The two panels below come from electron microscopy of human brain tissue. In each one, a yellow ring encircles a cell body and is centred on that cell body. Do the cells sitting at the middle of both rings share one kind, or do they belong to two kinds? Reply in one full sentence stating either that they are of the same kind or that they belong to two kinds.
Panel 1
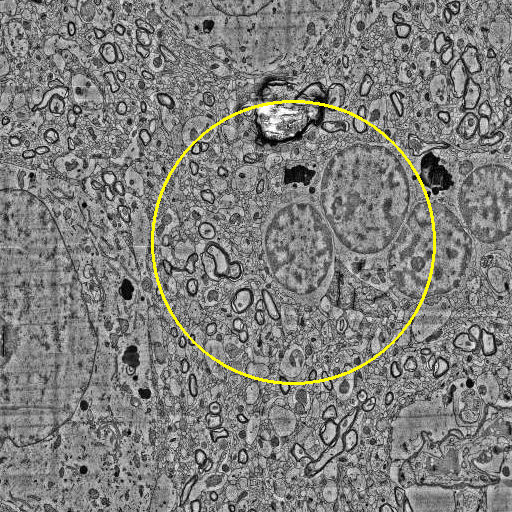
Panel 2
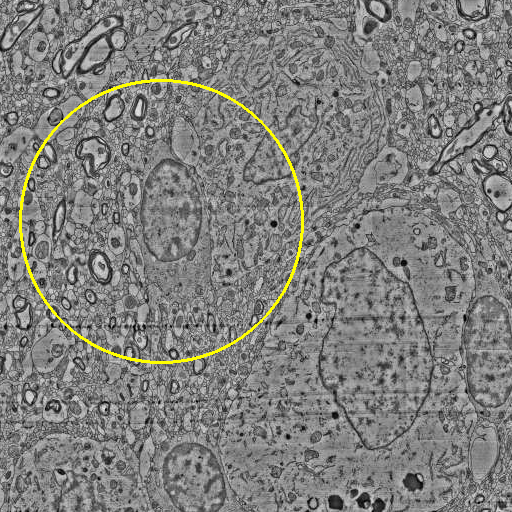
The cells at the centres of the two rings are of the same kind.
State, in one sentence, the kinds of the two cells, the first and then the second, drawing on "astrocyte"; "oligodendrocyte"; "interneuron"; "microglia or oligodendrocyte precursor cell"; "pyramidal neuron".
In both pictures the ring is centred on an oligodendrocyte.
